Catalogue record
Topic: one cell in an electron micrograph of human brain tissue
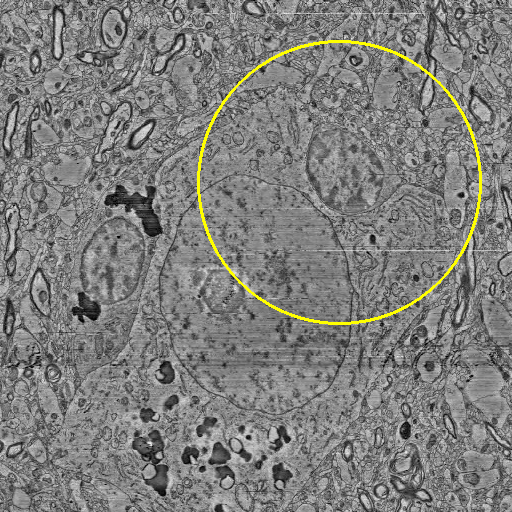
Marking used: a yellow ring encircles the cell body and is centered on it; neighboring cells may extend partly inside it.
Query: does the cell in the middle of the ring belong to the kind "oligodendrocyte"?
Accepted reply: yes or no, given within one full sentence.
Yes, the cell centered in the ring in the picture is of that kind.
